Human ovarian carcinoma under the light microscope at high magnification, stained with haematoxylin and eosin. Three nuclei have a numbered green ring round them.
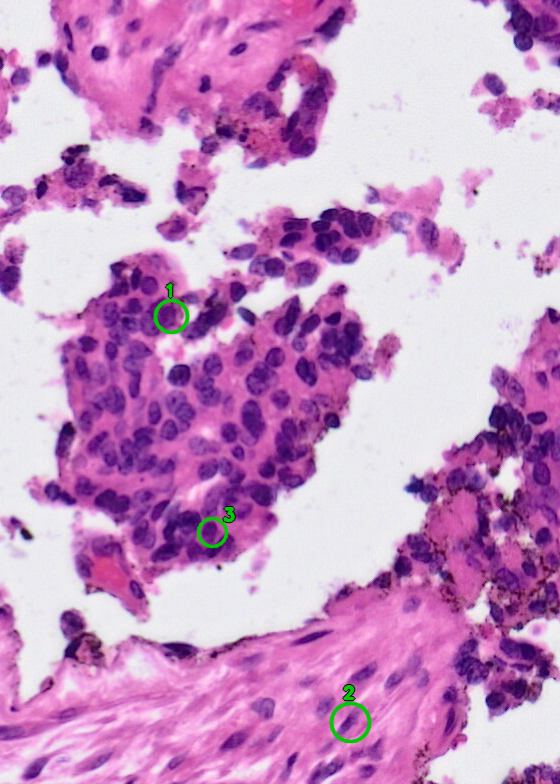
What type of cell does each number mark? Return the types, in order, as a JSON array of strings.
["carcinoma cell", "fibroblast", "carcinoma cell"]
